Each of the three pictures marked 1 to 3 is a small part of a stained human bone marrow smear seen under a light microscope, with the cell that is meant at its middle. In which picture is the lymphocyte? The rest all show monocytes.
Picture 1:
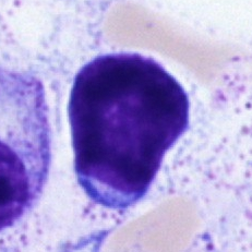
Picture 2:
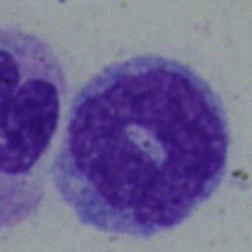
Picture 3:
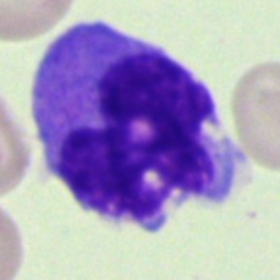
1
